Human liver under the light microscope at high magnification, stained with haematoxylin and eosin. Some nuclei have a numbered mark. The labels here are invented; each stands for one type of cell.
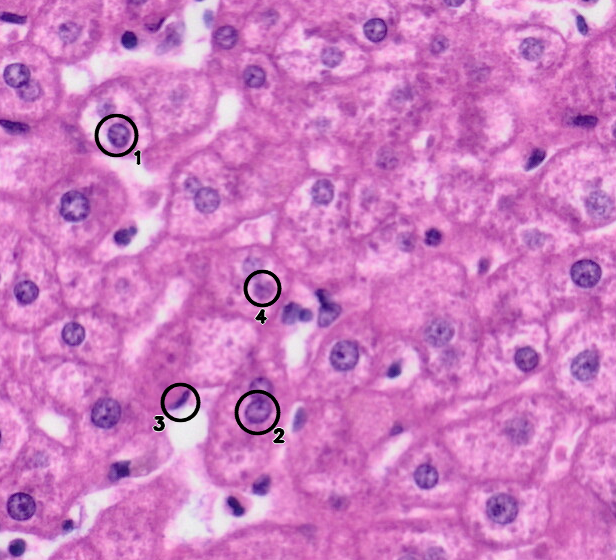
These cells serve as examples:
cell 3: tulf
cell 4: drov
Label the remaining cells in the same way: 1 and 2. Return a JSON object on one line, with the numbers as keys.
{"1": "drov", "2": "drov"}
